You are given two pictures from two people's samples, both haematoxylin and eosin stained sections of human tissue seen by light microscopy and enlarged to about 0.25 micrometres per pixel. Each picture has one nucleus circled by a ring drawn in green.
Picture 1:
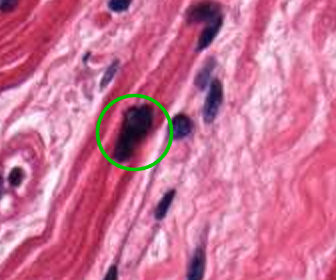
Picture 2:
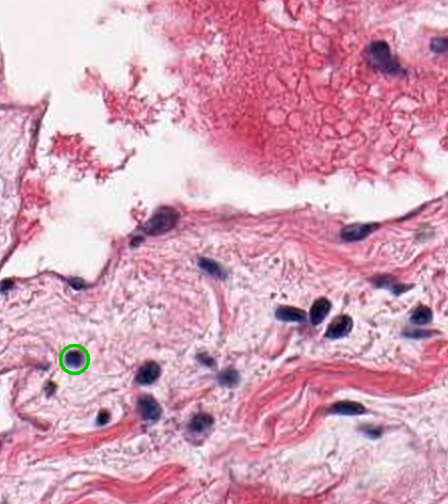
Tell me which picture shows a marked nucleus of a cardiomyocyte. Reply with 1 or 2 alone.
1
